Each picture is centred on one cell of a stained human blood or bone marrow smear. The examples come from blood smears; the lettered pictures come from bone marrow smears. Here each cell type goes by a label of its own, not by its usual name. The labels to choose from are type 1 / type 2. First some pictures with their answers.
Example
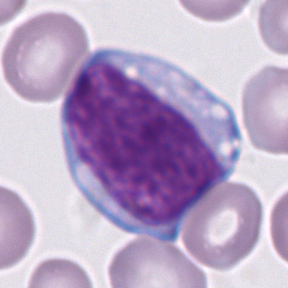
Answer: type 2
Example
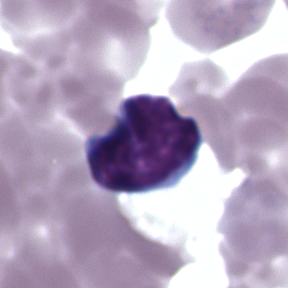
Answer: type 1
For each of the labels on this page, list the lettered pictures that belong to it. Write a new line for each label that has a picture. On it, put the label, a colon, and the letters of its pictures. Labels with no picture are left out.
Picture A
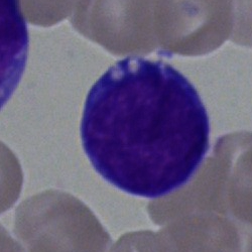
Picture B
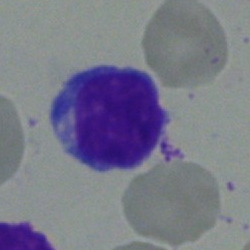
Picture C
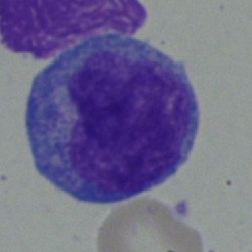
type 1: B
type 2: A, C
